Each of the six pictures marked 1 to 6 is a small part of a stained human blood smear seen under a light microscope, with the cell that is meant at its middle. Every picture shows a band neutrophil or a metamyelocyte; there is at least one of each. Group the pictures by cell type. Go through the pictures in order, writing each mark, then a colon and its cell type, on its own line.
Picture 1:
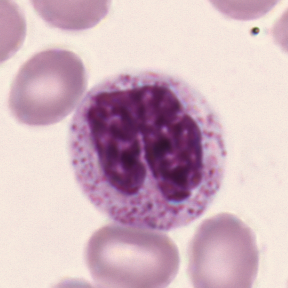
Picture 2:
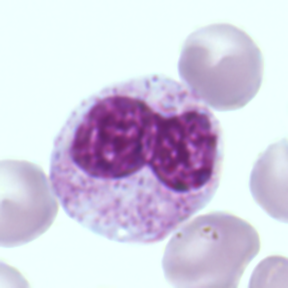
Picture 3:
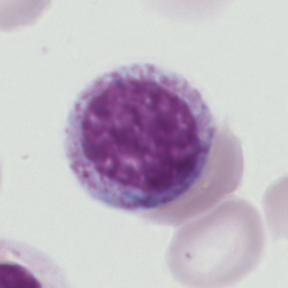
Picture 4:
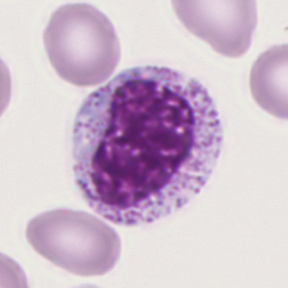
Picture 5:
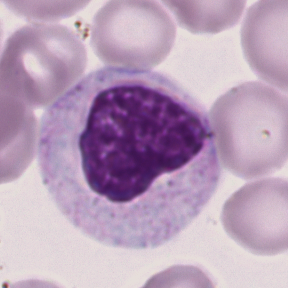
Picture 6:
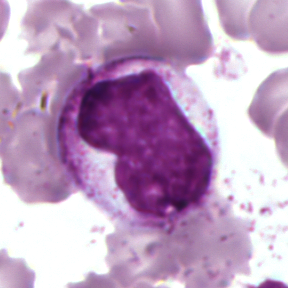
1: band neutrophil
2: band neutrophil
3: metamyelocyte
4: metamyelocyte
5: metamyelocyte
6: metamyelocyte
